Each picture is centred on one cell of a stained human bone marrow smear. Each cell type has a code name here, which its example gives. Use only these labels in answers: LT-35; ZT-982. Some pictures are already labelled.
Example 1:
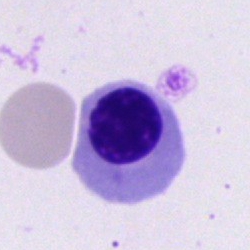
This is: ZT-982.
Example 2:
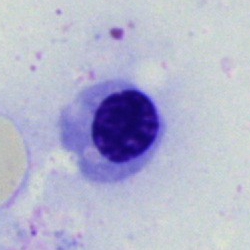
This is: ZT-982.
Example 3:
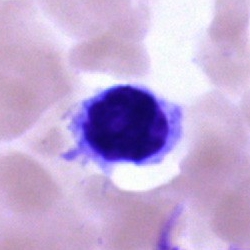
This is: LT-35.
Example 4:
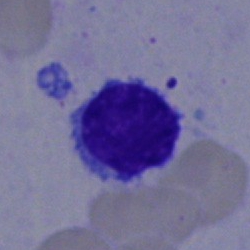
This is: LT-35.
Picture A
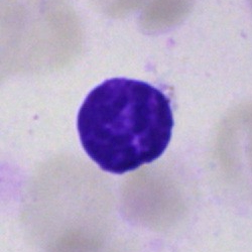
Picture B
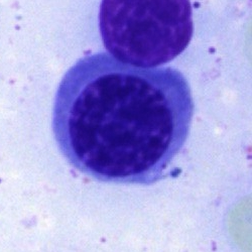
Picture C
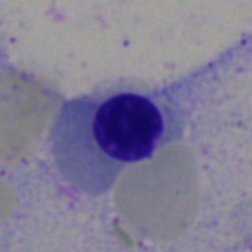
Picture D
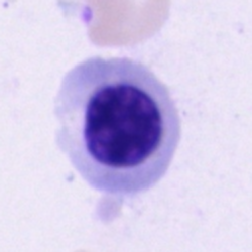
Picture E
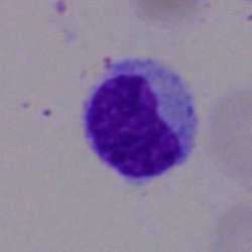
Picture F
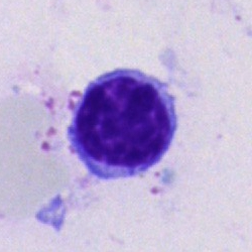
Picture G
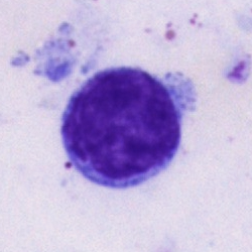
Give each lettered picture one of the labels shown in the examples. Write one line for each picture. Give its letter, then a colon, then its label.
A: LT-35.
B: ZT-982.
C: ZT-982.
D: ZT-982.
E: LT-35.
F: LT-35.
G: LT-35.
